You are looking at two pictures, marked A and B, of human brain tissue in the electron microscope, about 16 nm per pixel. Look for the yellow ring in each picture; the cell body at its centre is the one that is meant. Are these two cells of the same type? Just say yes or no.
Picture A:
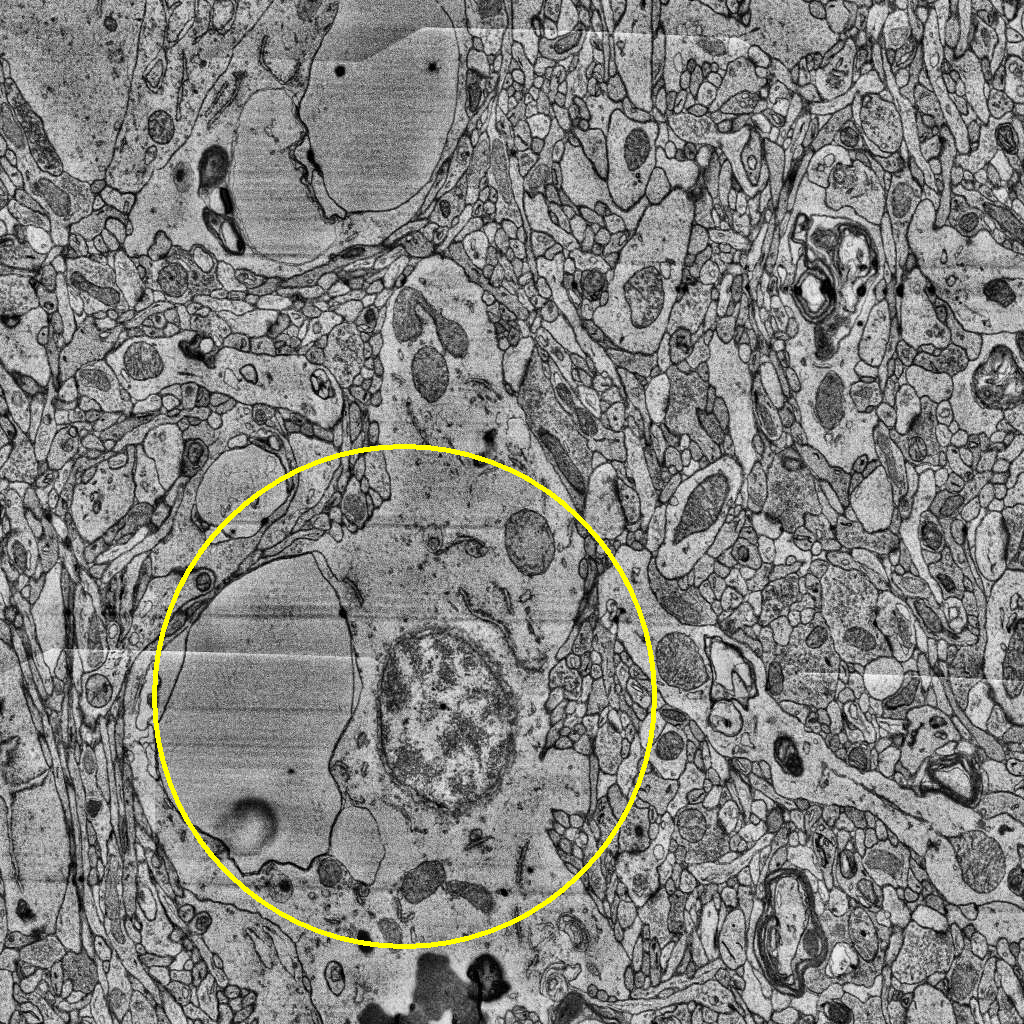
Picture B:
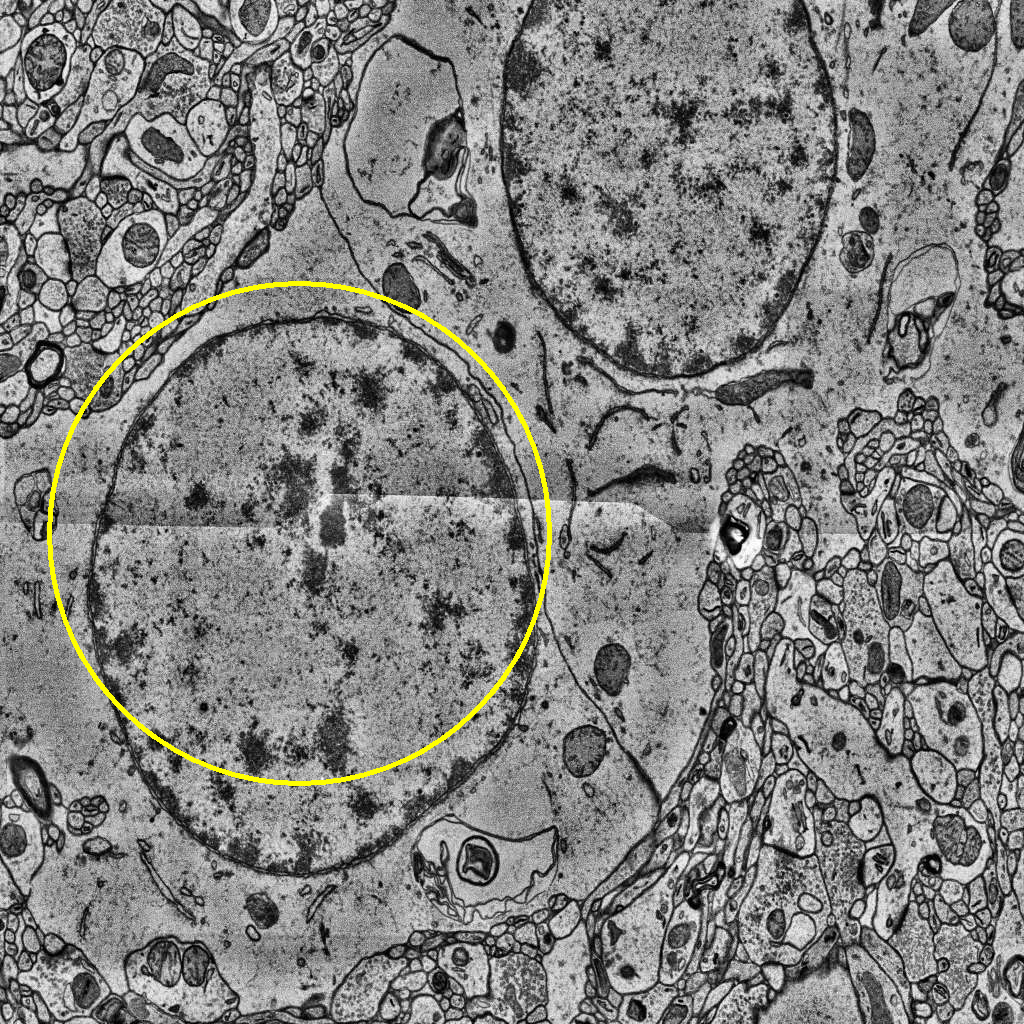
yes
